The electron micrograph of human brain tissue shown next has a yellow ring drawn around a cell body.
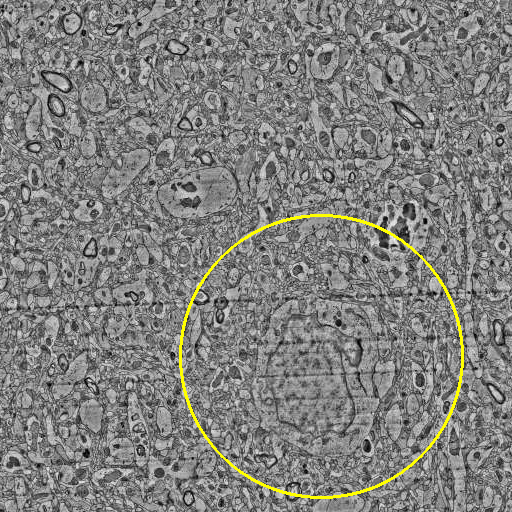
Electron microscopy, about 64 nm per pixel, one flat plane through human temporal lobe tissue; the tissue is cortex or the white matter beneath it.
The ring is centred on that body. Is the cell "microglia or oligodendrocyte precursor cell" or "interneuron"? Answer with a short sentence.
The cell in question is an interneuron.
